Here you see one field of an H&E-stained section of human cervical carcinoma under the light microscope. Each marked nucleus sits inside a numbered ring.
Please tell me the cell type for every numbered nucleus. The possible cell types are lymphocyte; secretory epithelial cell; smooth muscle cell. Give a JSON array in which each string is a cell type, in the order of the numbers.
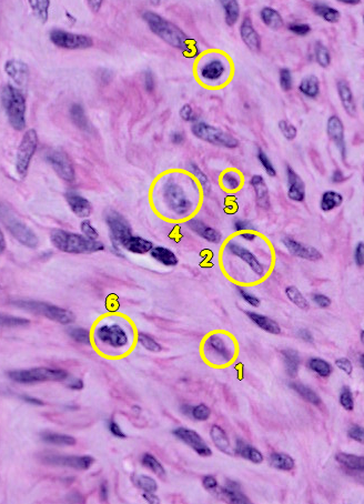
["smooth muscle cell", "smooth muscle cell", "lymphocyte", "smooth muscle cell", "smooth muscle cell", "lymphocyte"]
